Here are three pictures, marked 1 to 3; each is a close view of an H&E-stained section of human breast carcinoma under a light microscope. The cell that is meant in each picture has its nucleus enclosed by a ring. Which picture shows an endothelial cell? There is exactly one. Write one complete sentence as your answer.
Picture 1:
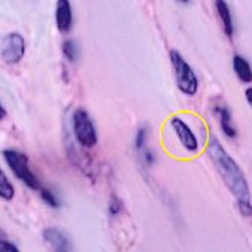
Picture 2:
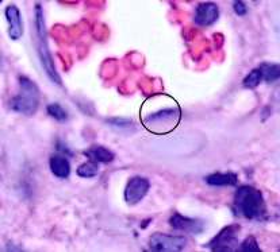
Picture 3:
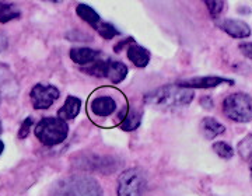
Picture 2 is the one that shows the endothelial cell.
